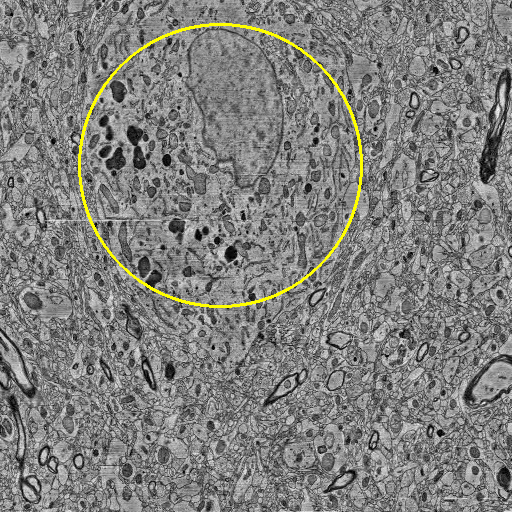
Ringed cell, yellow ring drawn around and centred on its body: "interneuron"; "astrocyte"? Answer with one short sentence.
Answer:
This ringed cell is an interneuron.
